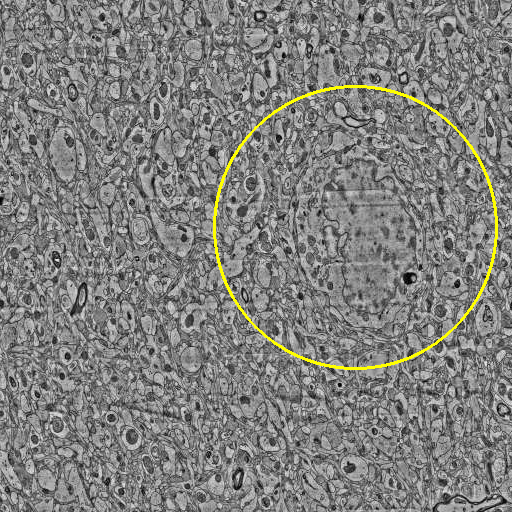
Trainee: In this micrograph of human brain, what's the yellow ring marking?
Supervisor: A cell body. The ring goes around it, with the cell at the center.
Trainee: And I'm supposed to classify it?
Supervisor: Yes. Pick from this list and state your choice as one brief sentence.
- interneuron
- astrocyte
The cell at the ring's center is an interneuron.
